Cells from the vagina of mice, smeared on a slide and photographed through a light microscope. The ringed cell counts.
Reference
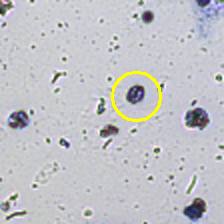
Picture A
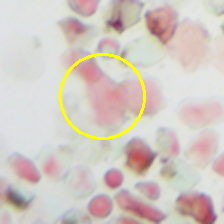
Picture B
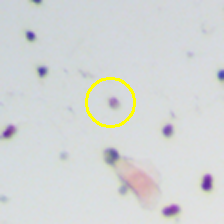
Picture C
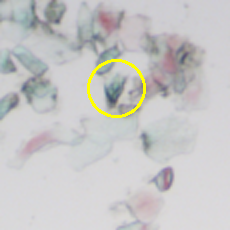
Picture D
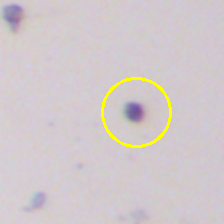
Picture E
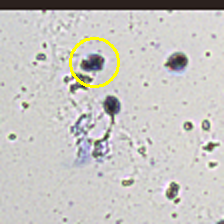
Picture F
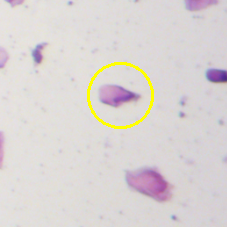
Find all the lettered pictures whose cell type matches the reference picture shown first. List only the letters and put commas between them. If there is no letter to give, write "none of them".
B, D, E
